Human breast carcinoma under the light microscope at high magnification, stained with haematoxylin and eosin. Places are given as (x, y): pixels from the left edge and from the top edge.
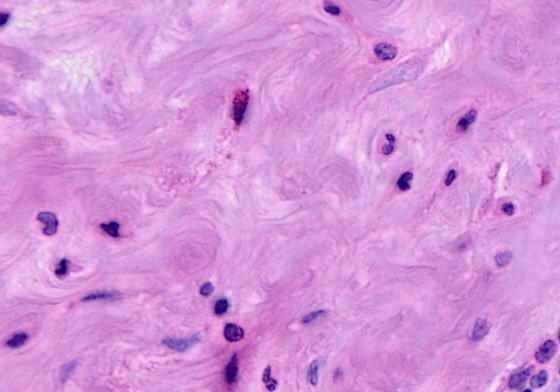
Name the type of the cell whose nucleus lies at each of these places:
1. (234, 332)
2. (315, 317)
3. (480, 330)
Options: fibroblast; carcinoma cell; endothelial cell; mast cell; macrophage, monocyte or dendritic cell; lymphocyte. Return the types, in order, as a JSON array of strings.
["lymphocyte", "fibroblast", "fibroblast"]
